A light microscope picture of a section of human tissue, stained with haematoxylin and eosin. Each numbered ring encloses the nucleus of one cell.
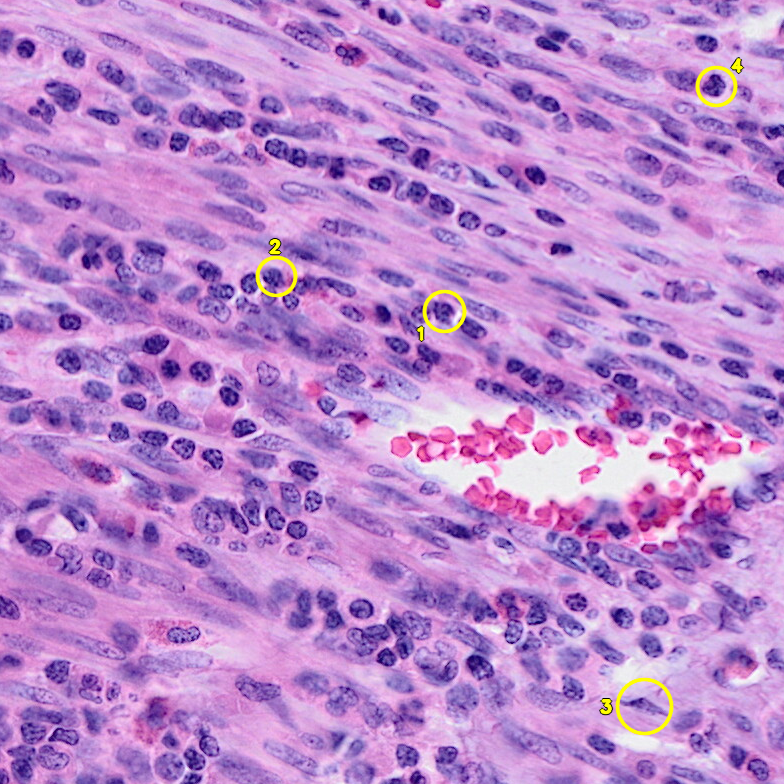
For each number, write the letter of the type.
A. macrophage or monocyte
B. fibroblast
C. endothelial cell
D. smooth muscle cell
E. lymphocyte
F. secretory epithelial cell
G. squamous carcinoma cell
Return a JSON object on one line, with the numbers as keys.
{"1": "E", "2": "E", "3": "B", "4": "E"}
